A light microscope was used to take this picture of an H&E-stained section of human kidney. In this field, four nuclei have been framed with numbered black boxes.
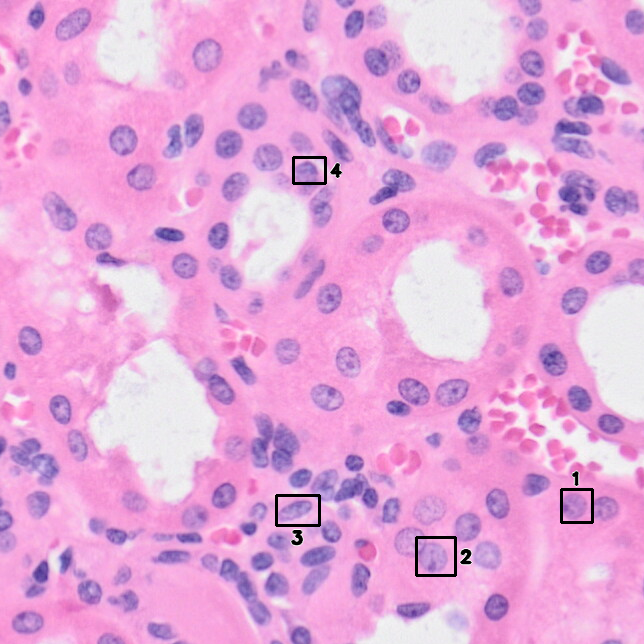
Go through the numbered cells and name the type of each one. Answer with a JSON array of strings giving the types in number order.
["proximal tubule cell", "proximal tubule cell", "collecting duct cell", "collecting duct cell"]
